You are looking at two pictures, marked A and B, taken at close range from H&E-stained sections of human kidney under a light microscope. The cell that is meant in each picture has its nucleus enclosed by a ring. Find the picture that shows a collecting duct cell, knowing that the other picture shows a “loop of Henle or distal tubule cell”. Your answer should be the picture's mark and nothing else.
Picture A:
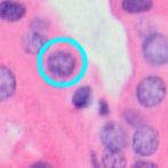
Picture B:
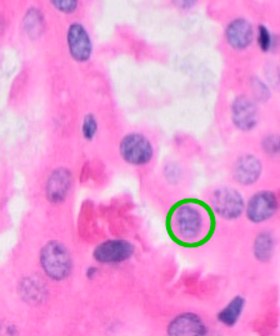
A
